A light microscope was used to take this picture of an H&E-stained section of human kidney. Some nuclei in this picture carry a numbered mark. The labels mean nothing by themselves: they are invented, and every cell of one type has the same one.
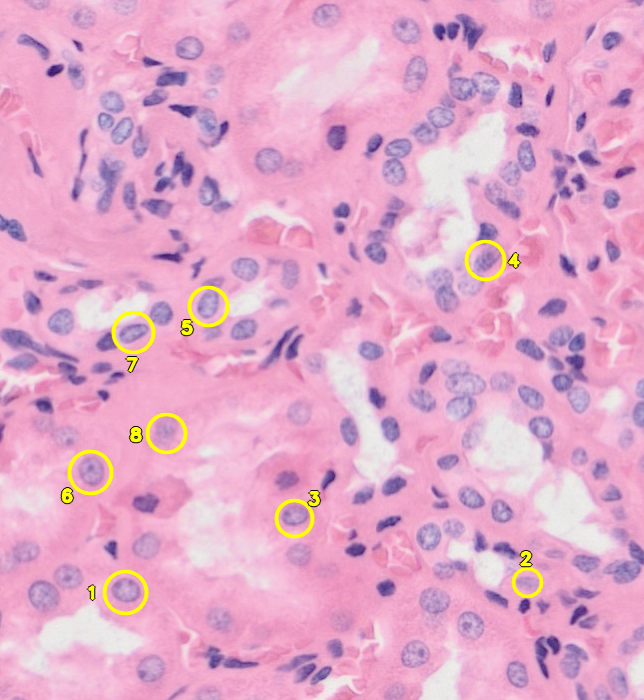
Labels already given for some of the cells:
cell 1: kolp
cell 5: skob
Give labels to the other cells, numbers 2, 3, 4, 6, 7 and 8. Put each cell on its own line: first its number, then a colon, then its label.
2: skob
3: kolp
4: skob
6: kolp
7: skob
8: kolp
